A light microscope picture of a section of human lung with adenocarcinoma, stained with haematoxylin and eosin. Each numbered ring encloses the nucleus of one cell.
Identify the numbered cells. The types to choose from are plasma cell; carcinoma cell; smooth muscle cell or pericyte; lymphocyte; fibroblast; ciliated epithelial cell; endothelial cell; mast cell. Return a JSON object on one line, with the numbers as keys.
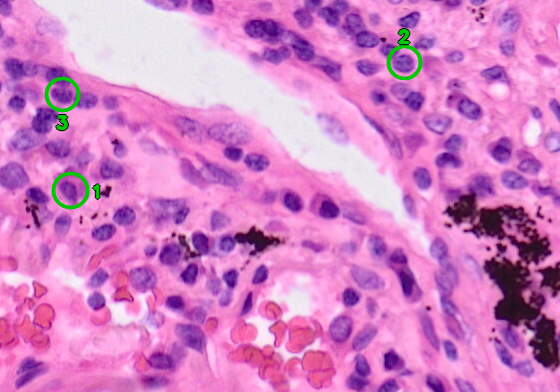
{"1": "plasma cell", "2": "lymphocyte", "3": "lymphocyte"}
